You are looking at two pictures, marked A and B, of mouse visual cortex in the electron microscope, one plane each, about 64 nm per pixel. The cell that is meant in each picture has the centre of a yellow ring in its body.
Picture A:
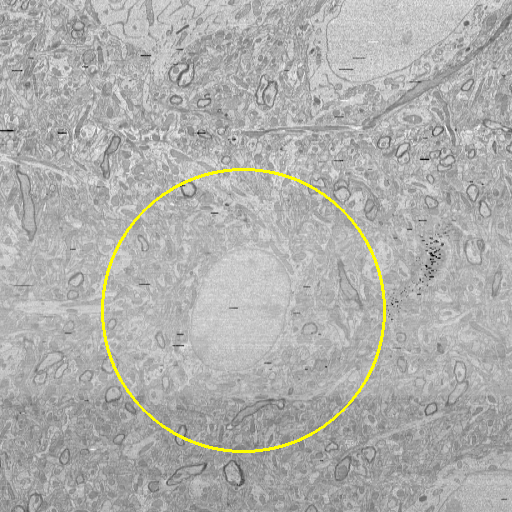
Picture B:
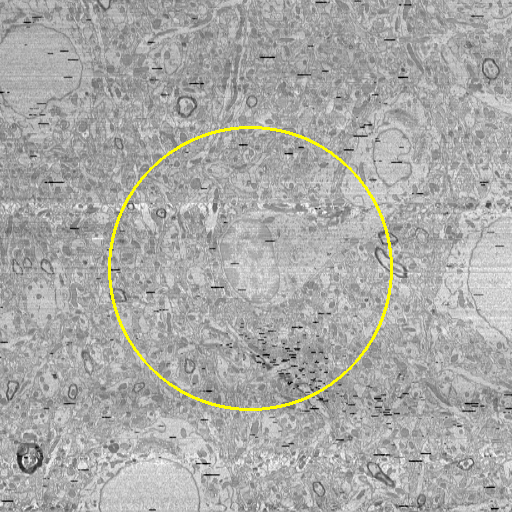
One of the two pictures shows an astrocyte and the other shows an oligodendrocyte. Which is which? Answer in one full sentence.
The cell in picture A is an astrocyte, and the one in picture B is an oligodendrocyte.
